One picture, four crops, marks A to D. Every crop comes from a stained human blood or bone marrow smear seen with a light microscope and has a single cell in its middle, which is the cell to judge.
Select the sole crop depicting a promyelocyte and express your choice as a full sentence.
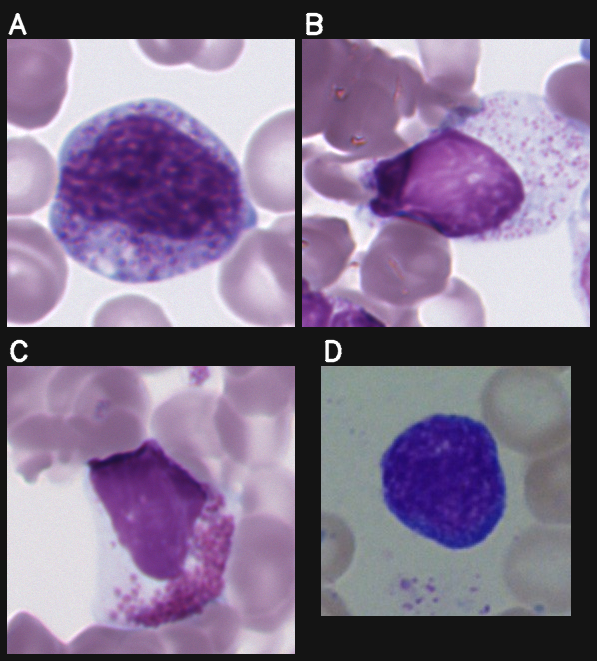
Crop A is where a promyelocyte is to be found.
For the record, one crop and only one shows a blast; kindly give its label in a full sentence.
In the set of crops, crop D is the one that contains a blast.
